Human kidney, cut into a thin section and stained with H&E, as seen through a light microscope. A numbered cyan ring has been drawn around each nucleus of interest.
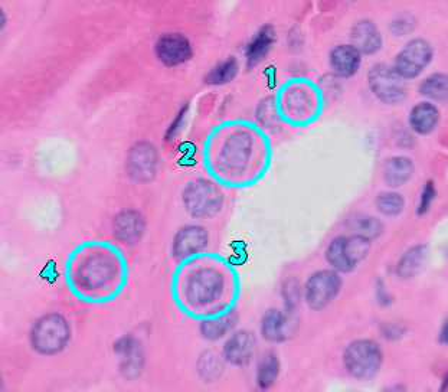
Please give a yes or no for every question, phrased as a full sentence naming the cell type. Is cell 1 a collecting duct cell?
Yes, the cell that the number 1 labels is a collecting duct cell.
